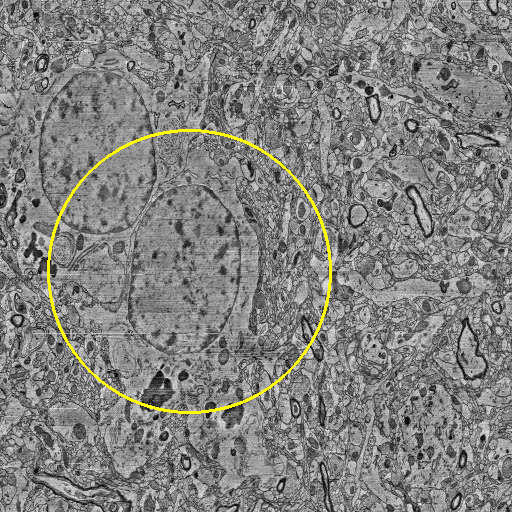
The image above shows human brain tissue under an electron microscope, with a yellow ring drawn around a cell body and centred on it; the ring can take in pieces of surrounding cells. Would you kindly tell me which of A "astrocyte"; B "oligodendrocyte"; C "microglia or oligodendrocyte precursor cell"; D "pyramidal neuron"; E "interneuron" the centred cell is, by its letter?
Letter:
A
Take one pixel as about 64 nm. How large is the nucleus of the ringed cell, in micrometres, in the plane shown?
Roughly 11 by 7 micrometres; in this plane, clearly longer than it is wide.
